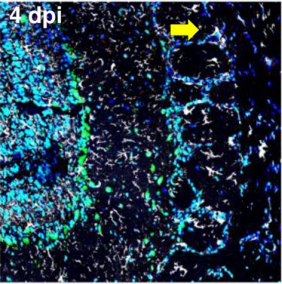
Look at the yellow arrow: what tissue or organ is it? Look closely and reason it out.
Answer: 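Glomerular layer. The arrow marks a chain of round dark spheres bordered by rings of nuclei.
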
